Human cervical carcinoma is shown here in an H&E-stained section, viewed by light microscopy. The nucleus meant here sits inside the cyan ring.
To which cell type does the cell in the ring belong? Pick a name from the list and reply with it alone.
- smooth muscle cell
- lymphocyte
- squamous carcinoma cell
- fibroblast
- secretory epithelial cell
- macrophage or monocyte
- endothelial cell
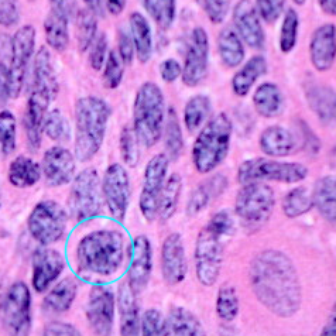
squamous carcinoma cell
